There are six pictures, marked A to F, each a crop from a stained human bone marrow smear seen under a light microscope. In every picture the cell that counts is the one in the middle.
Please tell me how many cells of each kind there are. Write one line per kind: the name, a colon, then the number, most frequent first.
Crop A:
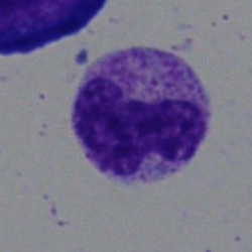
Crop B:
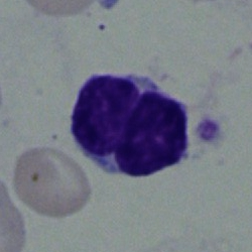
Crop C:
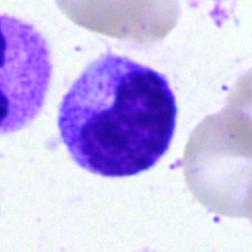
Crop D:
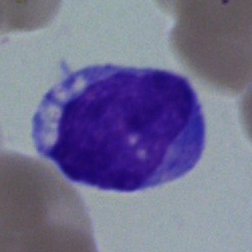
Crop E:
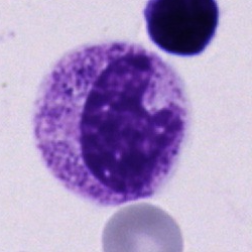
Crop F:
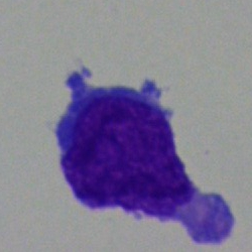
metamyelocyte: 3
blast: 2
lymphocyte: 1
